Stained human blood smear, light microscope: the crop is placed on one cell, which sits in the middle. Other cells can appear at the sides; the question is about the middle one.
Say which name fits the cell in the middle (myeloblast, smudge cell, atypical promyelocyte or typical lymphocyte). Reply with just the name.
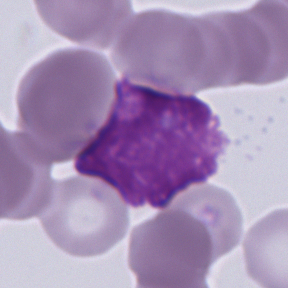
smudge cell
